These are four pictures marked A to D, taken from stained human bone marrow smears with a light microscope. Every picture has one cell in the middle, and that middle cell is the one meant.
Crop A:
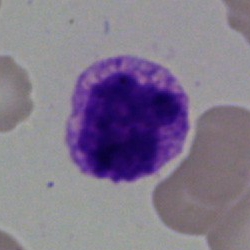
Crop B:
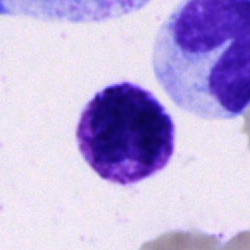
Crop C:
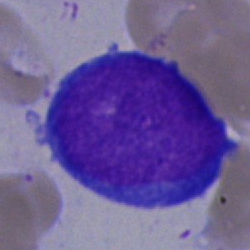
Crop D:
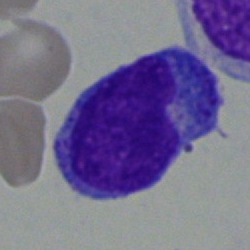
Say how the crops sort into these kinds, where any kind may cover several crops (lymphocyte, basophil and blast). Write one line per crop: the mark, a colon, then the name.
A: basophil
B: basophil
C: blast
D: blast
